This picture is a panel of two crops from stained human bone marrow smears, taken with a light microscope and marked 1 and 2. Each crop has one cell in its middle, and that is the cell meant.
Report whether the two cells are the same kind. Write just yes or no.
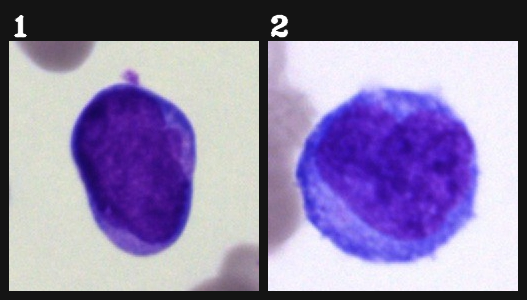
yes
